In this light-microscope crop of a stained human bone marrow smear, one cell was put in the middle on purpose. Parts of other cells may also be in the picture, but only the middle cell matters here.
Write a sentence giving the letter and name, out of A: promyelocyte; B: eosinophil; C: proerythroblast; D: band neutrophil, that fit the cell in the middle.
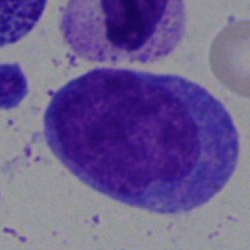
Answer key: option A, the middle cell being a promyelocyte.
